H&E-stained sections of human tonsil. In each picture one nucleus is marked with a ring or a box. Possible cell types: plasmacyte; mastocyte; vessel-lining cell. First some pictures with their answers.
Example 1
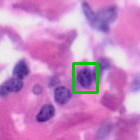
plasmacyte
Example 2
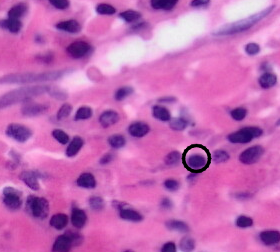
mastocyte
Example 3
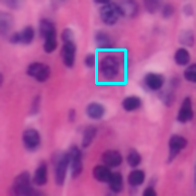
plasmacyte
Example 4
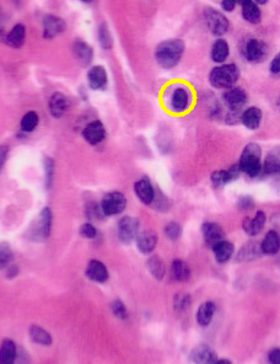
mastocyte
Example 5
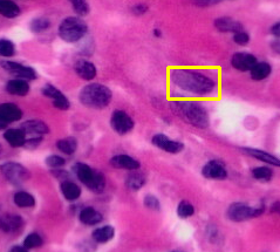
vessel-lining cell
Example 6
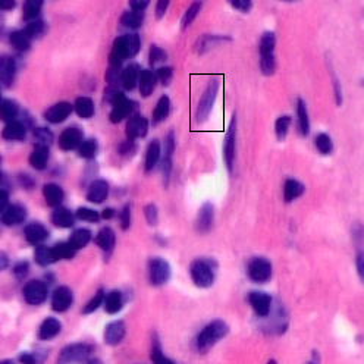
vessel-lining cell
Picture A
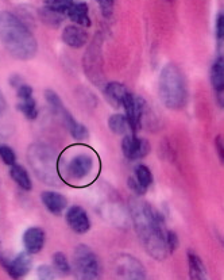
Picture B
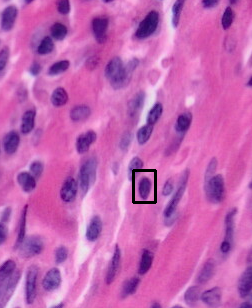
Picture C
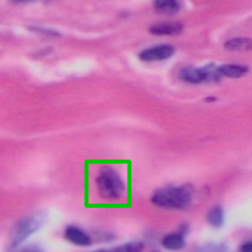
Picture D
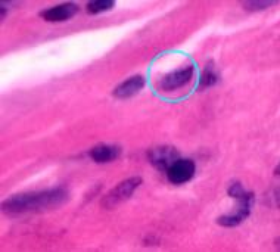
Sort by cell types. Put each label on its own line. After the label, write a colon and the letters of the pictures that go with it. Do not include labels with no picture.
mastocyte: B, C, D
vessel-lining cell: A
